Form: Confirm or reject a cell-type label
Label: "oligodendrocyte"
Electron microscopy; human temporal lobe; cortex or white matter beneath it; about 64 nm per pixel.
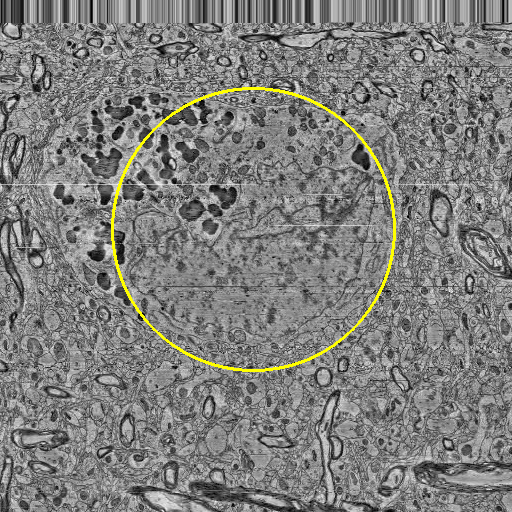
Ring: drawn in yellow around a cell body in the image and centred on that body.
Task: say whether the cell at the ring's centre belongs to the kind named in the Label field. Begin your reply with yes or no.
No, it belongs to another kind.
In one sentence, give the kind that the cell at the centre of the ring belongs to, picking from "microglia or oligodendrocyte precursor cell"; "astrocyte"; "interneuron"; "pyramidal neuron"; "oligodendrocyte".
Here, the ring is centred on an interneuron instead.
